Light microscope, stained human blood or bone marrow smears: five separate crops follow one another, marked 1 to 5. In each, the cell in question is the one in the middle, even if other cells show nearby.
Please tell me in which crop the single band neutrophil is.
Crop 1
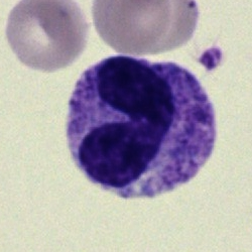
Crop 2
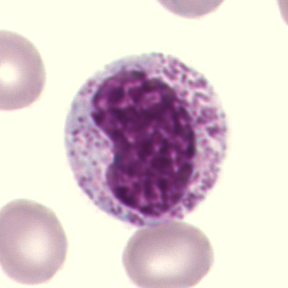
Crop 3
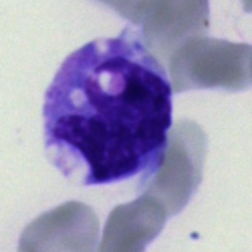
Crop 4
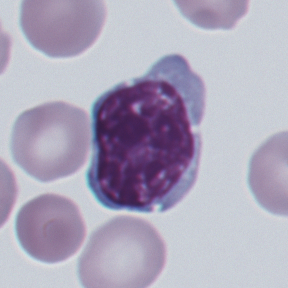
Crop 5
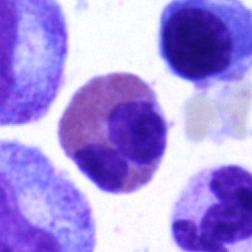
1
